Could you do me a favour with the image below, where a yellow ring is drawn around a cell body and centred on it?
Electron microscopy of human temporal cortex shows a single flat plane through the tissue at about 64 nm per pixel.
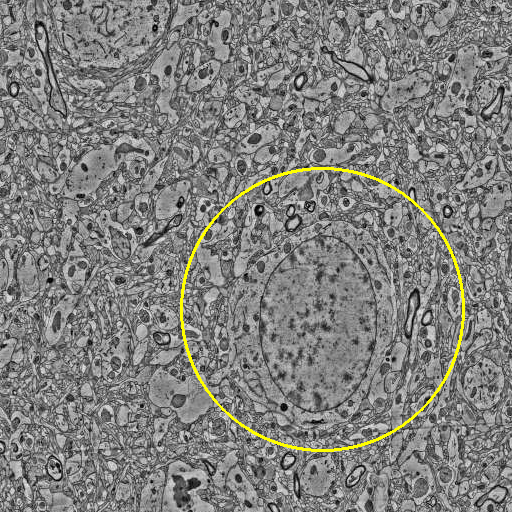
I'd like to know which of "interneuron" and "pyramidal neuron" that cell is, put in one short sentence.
The cell at the ring's centre is a pyramidal neuron.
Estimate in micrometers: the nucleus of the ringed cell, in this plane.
The ringed cell's nucleus is about 11 micrometres long and 8 micrometres wide in this plane.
